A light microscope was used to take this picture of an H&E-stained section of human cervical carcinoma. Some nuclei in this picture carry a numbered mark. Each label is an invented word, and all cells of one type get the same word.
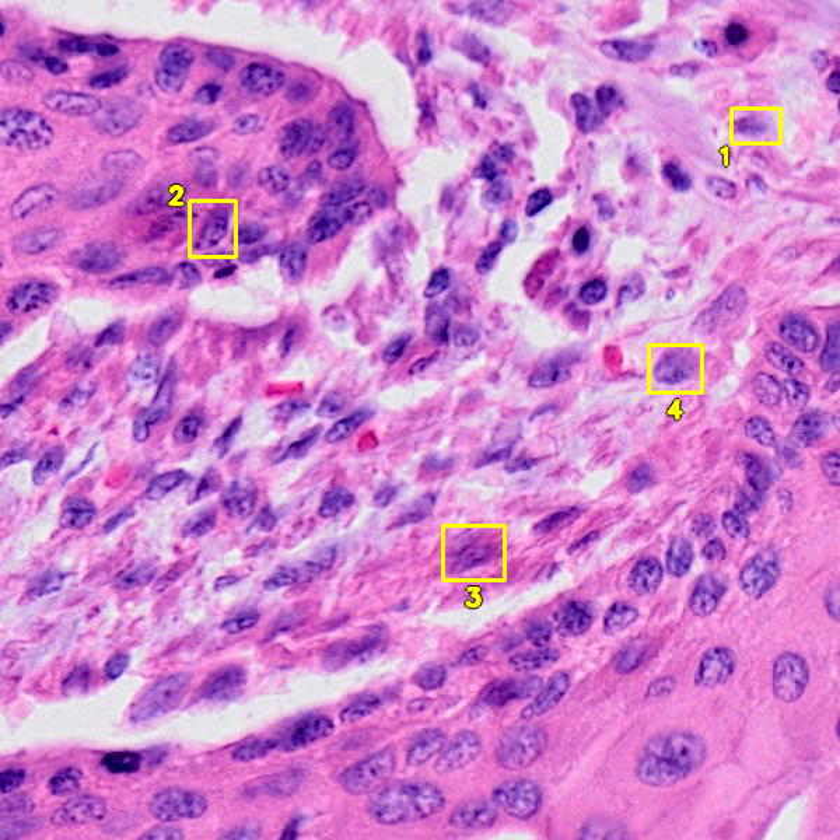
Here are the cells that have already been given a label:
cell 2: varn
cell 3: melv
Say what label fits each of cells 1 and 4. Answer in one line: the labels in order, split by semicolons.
melv; melv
